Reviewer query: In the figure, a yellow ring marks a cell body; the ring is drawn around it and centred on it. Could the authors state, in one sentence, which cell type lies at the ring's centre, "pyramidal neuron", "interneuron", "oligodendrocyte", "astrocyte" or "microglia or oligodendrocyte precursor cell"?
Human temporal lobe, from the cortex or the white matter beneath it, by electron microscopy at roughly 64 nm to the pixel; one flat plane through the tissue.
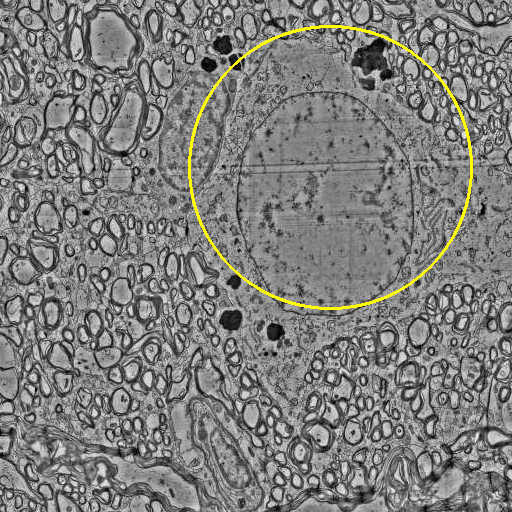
The ring is centred on a pyramidal neuron.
